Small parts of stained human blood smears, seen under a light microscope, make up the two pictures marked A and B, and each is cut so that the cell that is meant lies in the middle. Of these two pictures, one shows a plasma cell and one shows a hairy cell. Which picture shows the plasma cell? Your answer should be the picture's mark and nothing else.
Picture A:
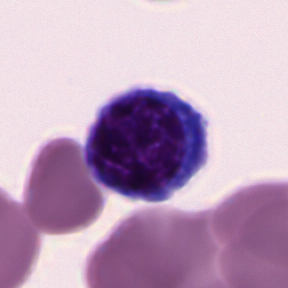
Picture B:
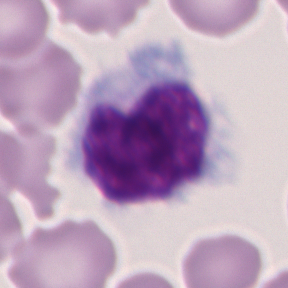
A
